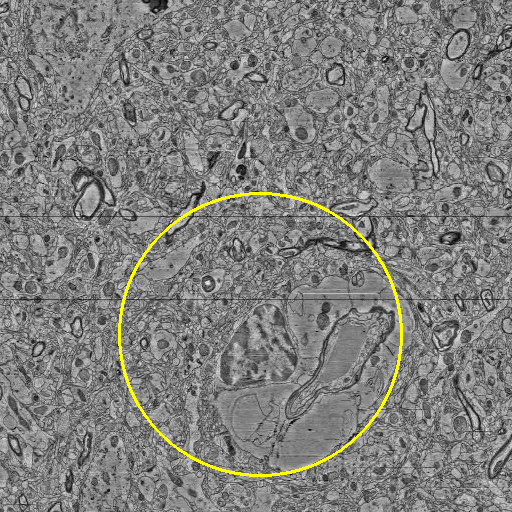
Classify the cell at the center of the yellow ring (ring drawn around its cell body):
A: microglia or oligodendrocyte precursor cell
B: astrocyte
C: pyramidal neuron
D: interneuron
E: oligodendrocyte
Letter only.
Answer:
A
